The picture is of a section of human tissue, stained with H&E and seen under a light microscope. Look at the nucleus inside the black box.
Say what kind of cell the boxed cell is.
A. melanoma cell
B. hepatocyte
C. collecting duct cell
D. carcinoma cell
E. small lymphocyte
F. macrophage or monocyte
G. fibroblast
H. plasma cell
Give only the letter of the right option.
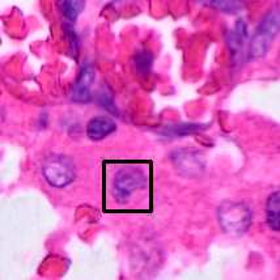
F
